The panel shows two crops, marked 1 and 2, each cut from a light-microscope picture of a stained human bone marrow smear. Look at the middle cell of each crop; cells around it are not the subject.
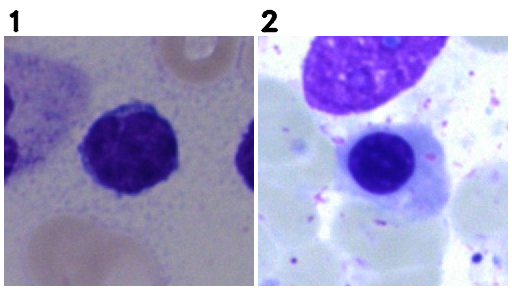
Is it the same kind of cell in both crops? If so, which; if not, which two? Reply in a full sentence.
No, at the centre of crop 1 is a lymphocyte, and at the centre of crop 2 is an erythroblast.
